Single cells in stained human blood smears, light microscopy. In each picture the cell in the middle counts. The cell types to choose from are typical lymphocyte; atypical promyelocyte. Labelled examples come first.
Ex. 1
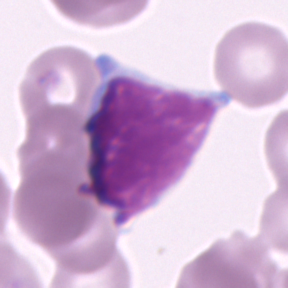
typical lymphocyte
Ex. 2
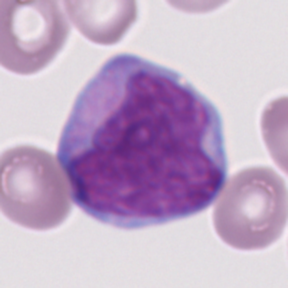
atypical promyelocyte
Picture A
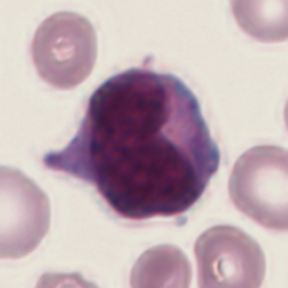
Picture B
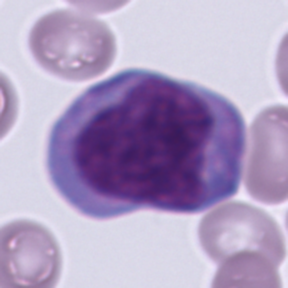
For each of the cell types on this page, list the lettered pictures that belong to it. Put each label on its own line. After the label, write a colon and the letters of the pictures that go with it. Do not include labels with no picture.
atypical promyelocyte: A, B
